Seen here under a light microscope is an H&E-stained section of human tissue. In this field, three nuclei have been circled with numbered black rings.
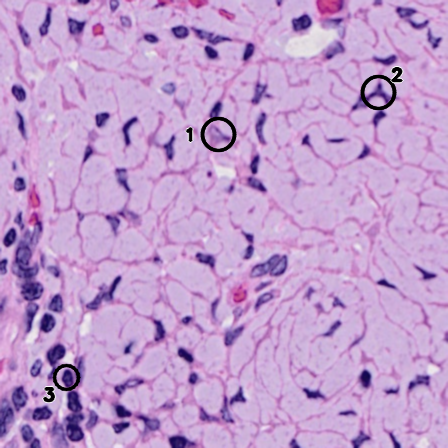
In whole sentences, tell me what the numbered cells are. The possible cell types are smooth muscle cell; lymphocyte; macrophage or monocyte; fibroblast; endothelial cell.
Cell 1 is a fibroblast, cell 2 is a fibroblast and cell 3 is a lymphocyte.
